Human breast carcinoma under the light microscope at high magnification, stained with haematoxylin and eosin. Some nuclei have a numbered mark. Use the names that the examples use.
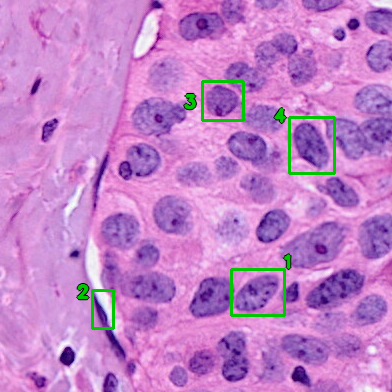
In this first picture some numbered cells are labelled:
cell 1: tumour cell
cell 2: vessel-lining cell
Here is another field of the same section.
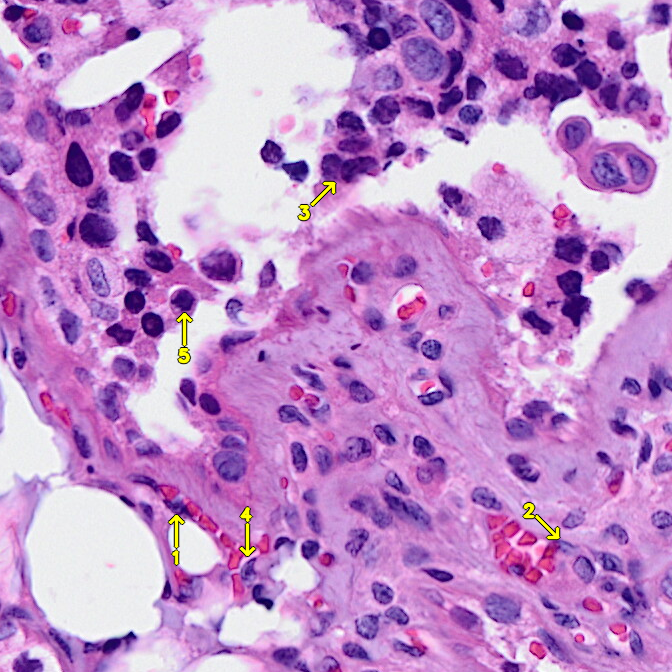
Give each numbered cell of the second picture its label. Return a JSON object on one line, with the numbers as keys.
{"1": "vessel-lining cell", "2": "vessel-lining cell", "3": "tumour cell", "4": "vessel-lining cell", "5": "tumour cell"}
